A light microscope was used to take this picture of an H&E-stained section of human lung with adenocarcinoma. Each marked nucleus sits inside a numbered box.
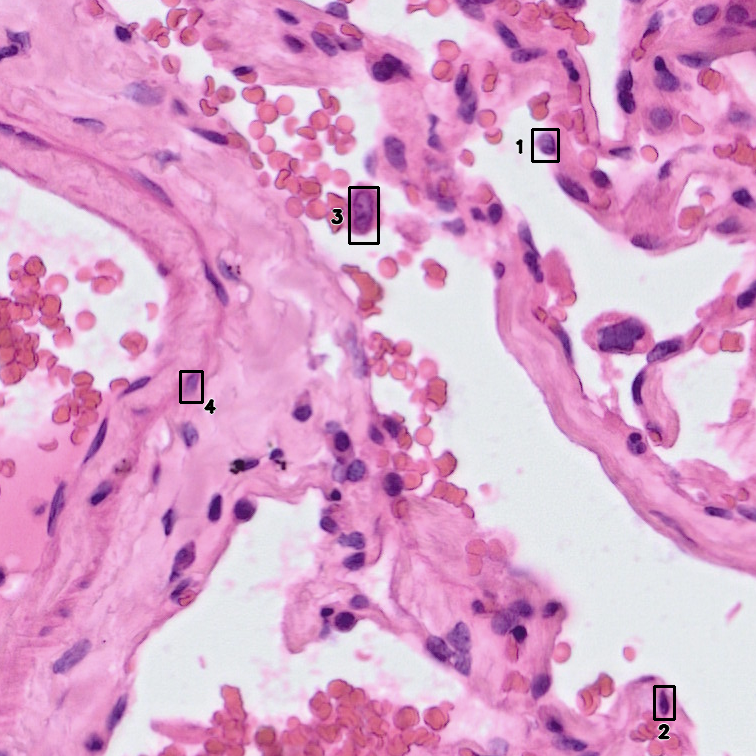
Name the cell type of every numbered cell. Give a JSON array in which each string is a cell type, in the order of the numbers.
["type I pneumocyte", "endothelial cell", "macrophage or monocyte", "smooth muscle cell or pericyte"]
